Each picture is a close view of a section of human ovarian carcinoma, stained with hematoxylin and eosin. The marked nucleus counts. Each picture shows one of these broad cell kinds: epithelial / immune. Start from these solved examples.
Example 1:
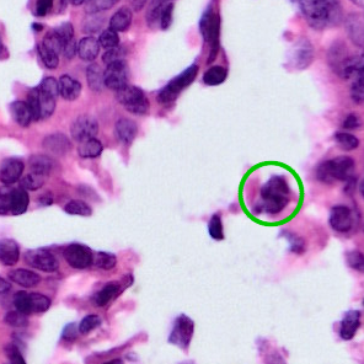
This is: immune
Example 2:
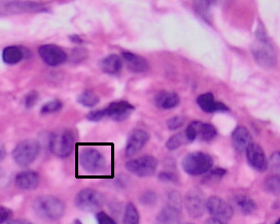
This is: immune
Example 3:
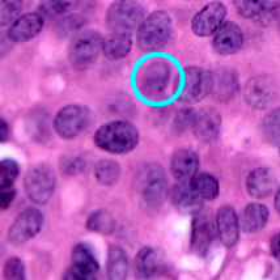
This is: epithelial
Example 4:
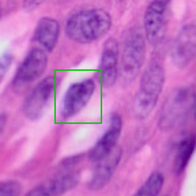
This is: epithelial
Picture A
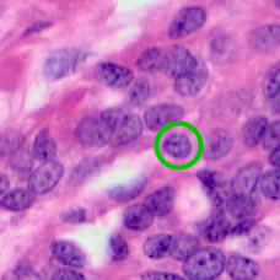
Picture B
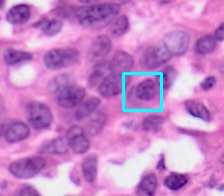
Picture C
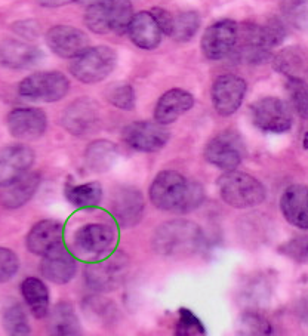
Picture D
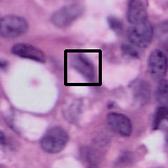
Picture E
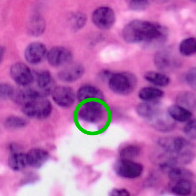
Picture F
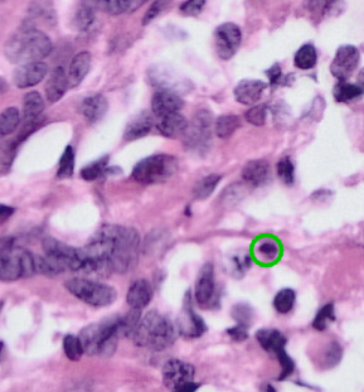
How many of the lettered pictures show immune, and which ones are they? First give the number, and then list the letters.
Count: 2 (A, F)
